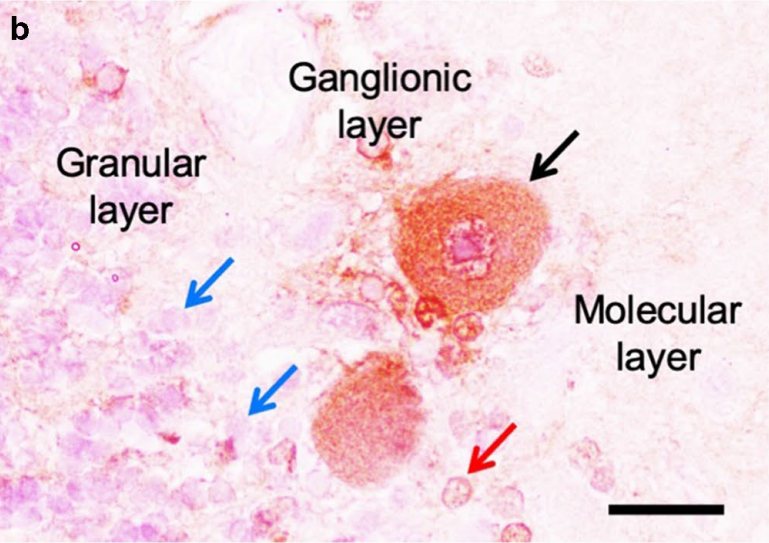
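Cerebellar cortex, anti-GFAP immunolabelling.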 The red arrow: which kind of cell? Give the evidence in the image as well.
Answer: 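The marked cell is small and round with a red-rimmed outline. It sits close beside the large red cell bodies in their layer.
Conclusion: Bergmann glial cells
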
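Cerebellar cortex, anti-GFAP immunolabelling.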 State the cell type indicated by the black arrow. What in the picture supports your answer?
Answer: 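Purkinje neurons. The marked cell body is very large and rounded, filled with intense red granular stain. It lies in a single row between a crowded layer of small cells and a pale, sparsely cellular layer. A pale nucleus with a nucleolus is visible in its centre.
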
